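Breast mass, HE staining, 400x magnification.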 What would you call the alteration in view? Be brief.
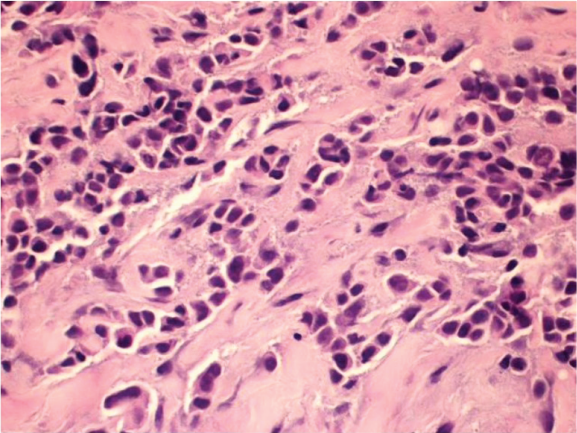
pleomorphic hyperchromatic nuclei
